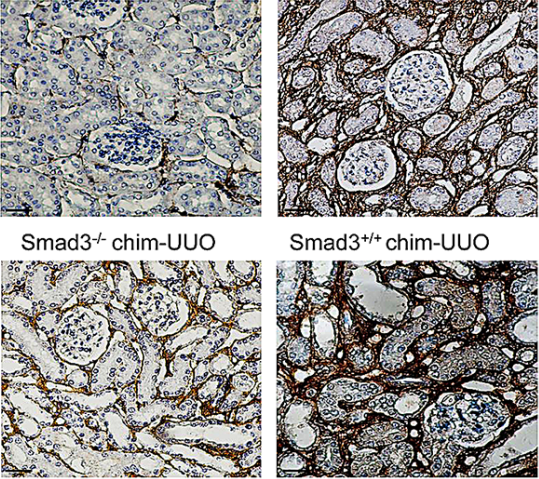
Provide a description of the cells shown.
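These are four fields of kidney cortex, each with round glomeruli sitting among cross-sectioned tubules lined by cuboidal epithelial cells with blue nuclei. In one field the brown stain is confined to thin lines between closely packed tubules. In the others the tubules are spread apart and many look dilated, and the widened spaces between them are filled with brown-stained material, heaviest in the lower right field, where it forms dense bands around tubules and glomeruli. The lower left field has brown material between the tubules too, but thinner than in the lower right field.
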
